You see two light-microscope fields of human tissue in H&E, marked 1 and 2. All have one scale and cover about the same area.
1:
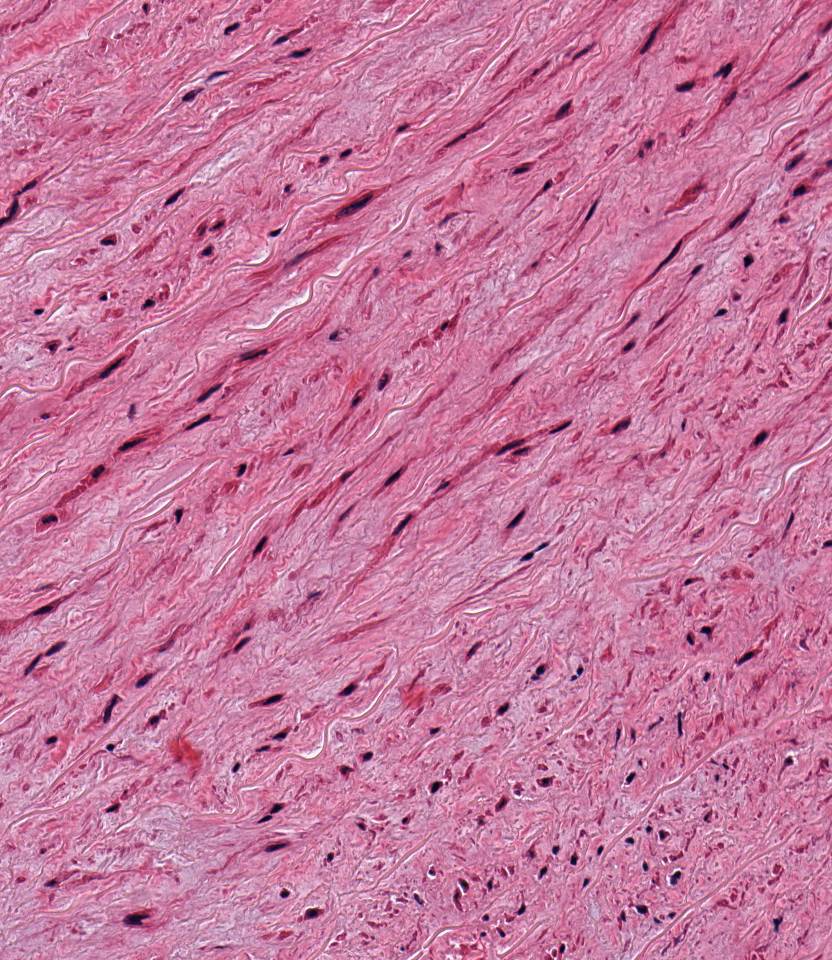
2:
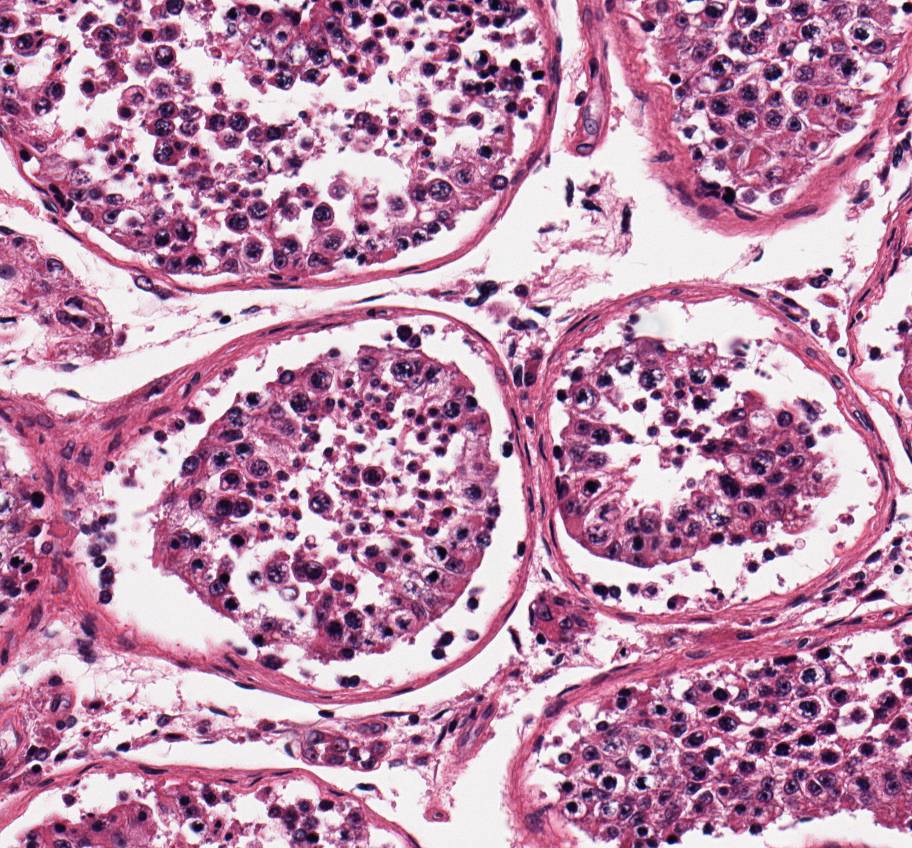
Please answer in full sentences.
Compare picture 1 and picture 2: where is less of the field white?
It is picture 1 that stained tissue fills more completely.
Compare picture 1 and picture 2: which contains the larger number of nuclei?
The larger number of nuclei is in picture 2.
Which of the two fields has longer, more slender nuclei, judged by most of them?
On the whole the nuclei of picture 1 are more drawn out than those of picture 2.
